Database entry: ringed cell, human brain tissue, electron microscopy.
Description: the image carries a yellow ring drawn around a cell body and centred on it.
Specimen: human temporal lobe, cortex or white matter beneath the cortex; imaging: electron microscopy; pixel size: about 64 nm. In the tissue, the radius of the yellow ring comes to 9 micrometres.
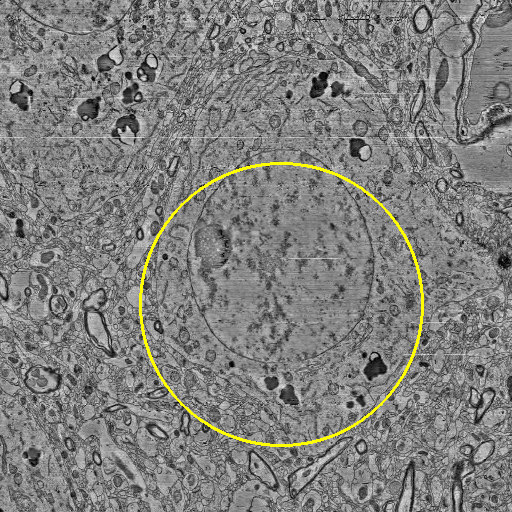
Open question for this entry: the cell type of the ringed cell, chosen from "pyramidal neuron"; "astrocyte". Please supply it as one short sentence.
The ringed cell is a pyramidal neuron.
